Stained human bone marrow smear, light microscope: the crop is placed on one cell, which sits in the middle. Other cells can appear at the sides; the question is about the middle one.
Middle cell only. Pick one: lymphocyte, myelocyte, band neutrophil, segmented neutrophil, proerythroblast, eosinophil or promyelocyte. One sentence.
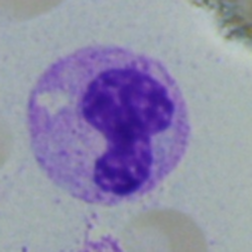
Of the cells in this crop, the central one is a segmented neutrophil.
